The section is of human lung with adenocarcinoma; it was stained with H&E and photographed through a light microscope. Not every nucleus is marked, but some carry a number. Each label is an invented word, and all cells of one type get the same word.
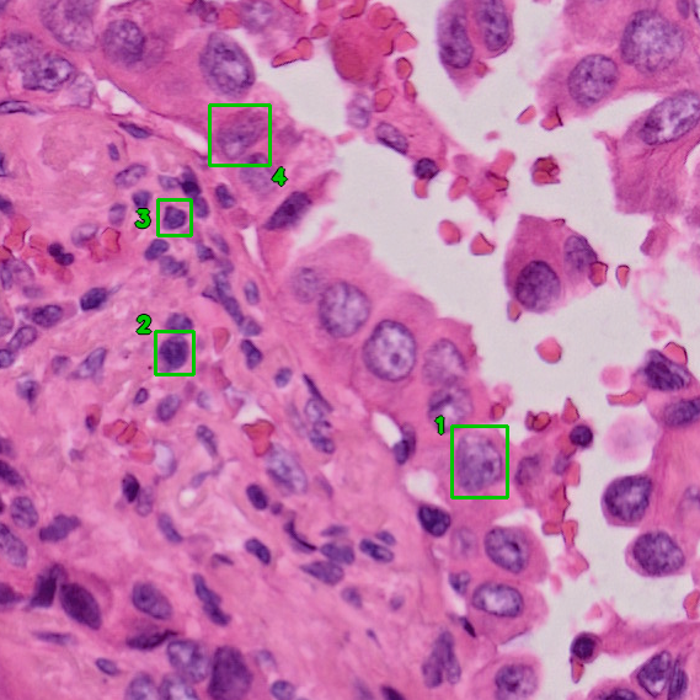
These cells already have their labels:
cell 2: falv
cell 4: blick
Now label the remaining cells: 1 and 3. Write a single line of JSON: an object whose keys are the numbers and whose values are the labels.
{"1": "blick", "3": "falv"}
